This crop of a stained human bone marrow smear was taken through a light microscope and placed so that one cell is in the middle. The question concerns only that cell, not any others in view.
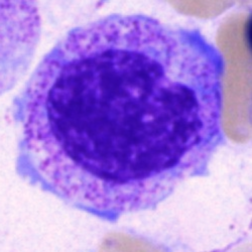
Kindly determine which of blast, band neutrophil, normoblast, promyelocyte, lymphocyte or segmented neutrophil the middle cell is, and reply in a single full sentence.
Regarding the central cell, it is a promyelocyte.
